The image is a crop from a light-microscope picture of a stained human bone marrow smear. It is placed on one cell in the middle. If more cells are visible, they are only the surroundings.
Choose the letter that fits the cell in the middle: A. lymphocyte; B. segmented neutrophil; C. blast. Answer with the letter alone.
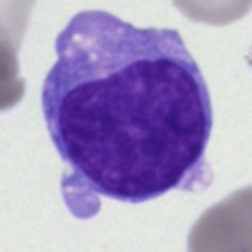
C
